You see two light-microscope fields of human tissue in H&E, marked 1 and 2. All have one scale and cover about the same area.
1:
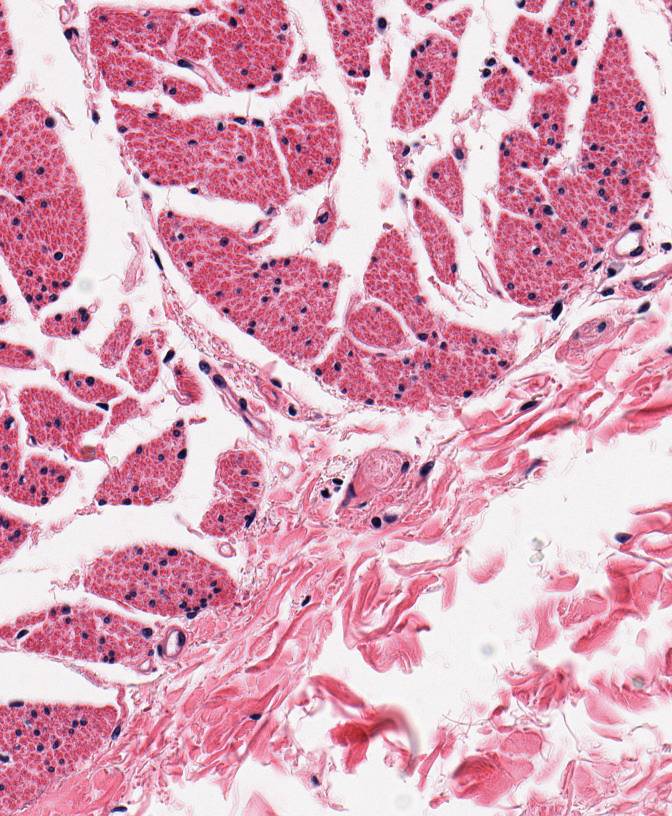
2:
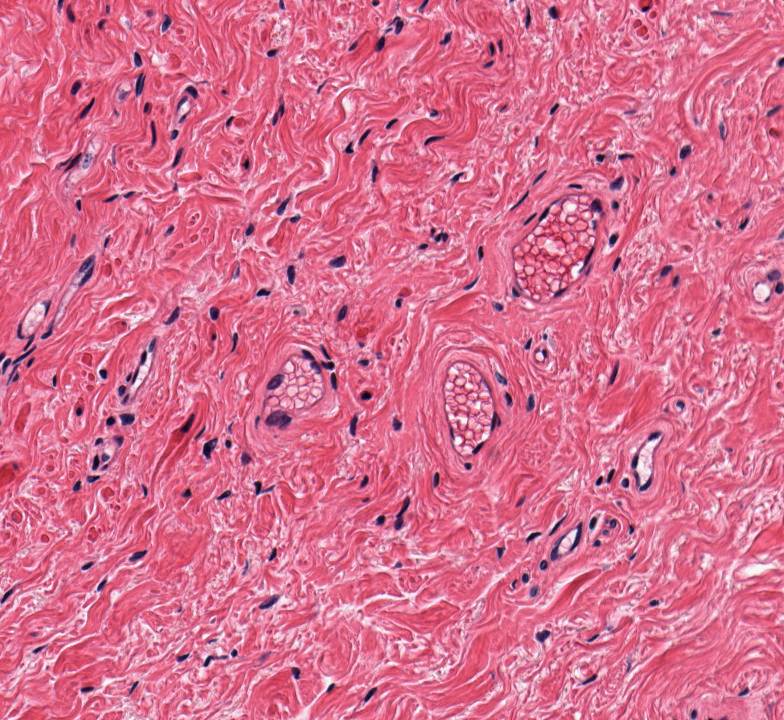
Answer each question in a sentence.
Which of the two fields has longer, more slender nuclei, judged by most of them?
Longer, more slender nuclei lie in picture 2.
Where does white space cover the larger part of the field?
More of picture 1 is empty and white.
